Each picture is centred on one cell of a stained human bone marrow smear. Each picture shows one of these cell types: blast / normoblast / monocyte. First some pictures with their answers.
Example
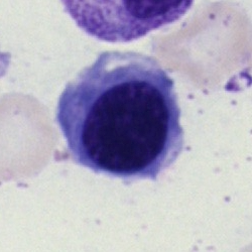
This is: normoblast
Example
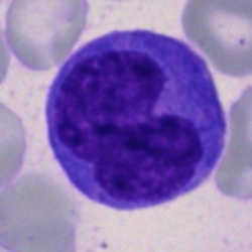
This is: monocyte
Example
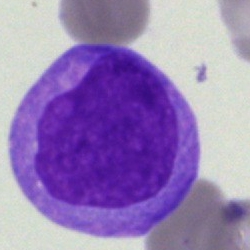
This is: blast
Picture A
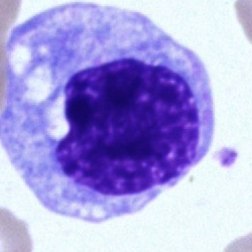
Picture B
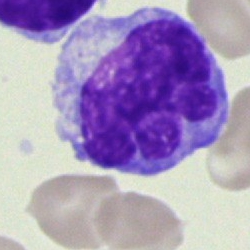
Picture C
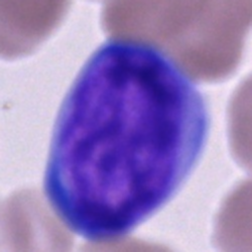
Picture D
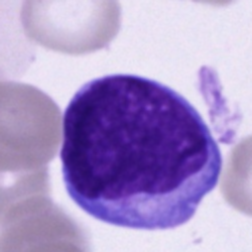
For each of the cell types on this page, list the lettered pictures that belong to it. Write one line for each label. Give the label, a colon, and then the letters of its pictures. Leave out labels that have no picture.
blast: C, D
monocyte: A, B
